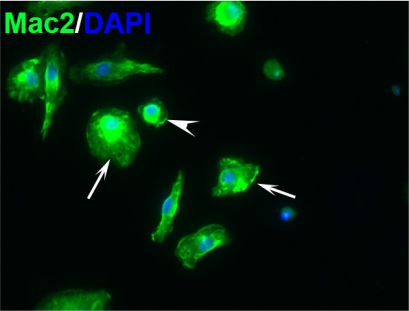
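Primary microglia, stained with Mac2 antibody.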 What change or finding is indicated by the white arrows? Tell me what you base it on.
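The cells at the arrows are broad and flattened. They lack long thin processes, unlike the elongated cells nearby.
Conclusion: enlarged cell bodies and retracted cell processes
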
